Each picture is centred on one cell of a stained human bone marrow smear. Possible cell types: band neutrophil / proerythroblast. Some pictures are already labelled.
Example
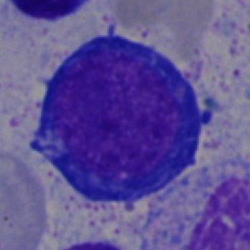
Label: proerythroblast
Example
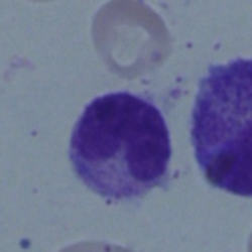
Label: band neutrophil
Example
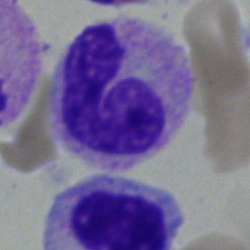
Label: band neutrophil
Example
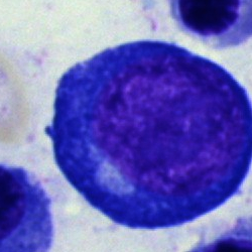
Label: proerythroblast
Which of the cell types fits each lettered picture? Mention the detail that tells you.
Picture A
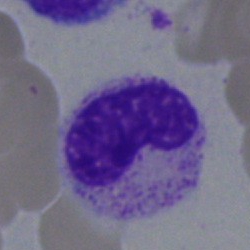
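Label: band neutrophil. Fine violet granules are scattered throughout the cytoplasm.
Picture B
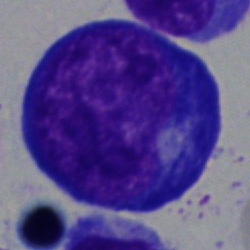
Label: proerythroblast. The chromatin is finely stippled rather than coarsely clumped.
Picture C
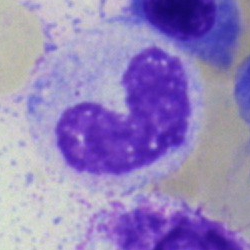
Label: band neutrophil. The chromatin is dark purple and coarsely clumped.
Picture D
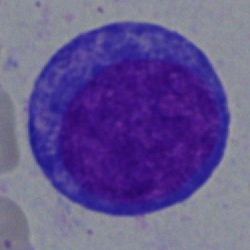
Label: proerythroblast. The chromatin is finely granular rather than coarsely clumped.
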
